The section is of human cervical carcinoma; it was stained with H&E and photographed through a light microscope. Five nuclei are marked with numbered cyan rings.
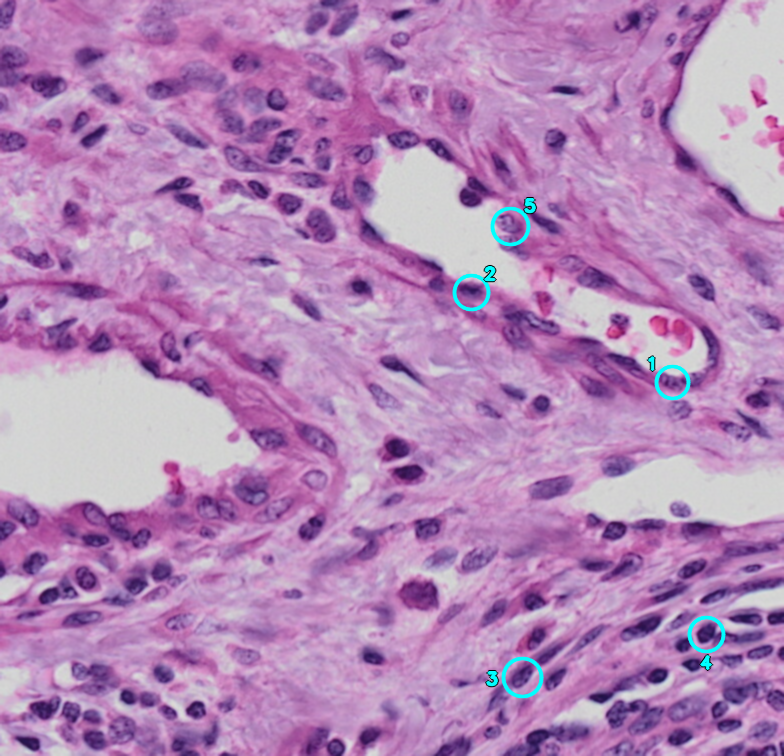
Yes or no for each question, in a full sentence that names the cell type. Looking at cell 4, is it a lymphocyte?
Yes, regarding cell number 4, it is a lymphocyte.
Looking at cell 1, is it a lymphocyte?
No, cell 1 is not a lymphocyte. It is an endothelial cell.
